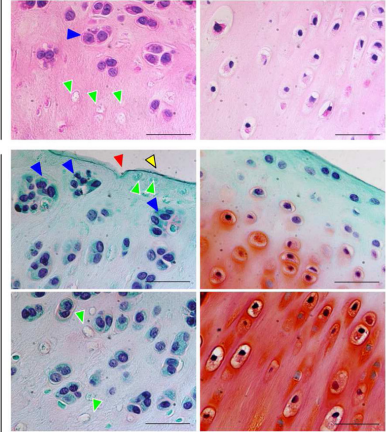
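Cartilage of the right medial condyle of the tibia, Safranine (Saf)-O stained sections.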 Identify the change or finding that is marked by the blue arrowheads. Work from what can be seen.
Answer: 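Groups of several chondrocytes lie packed together near the surface. The grouped cells sit in pale blue-green matrix. So: cluster formation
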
